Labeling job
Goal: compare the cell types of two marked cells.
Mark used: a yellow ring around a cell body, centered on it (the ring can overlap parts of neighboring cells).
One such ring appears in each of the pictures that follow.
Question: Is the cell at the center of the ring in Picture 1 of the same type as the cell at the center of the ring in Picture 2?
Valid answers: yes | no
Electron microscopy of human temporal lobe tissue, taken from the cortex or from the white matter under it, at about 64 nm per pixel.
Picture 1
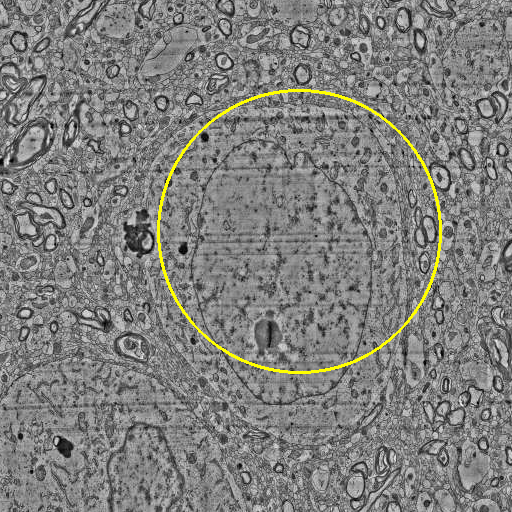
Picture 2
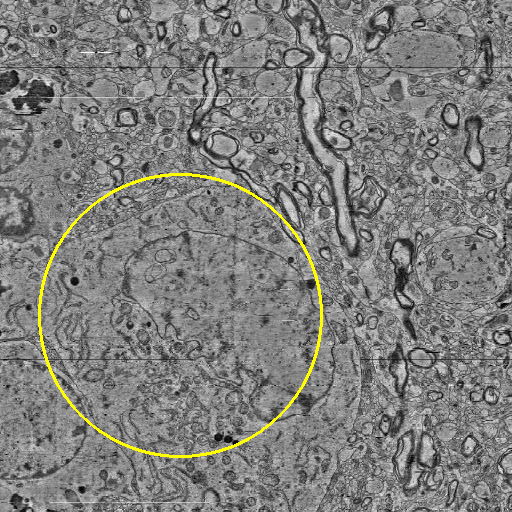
yes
